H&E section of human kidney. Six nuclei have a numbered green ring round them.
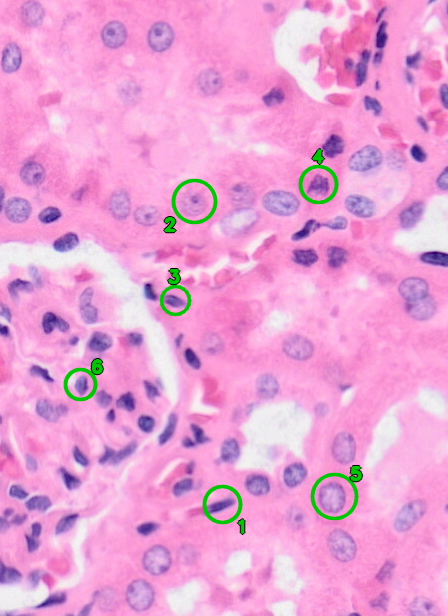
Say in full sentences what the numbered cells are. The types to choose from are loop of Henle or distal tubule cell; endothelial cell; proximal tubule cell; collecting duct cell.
Cell 1 is an endothelial cell, cell 2 is a proximal tubule cell, cell 3 is an endothelial cell, cell 4 is a proximal tubule cell, cell 5 is a proximal tubule cell and cell 6 is an endothelial cell.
